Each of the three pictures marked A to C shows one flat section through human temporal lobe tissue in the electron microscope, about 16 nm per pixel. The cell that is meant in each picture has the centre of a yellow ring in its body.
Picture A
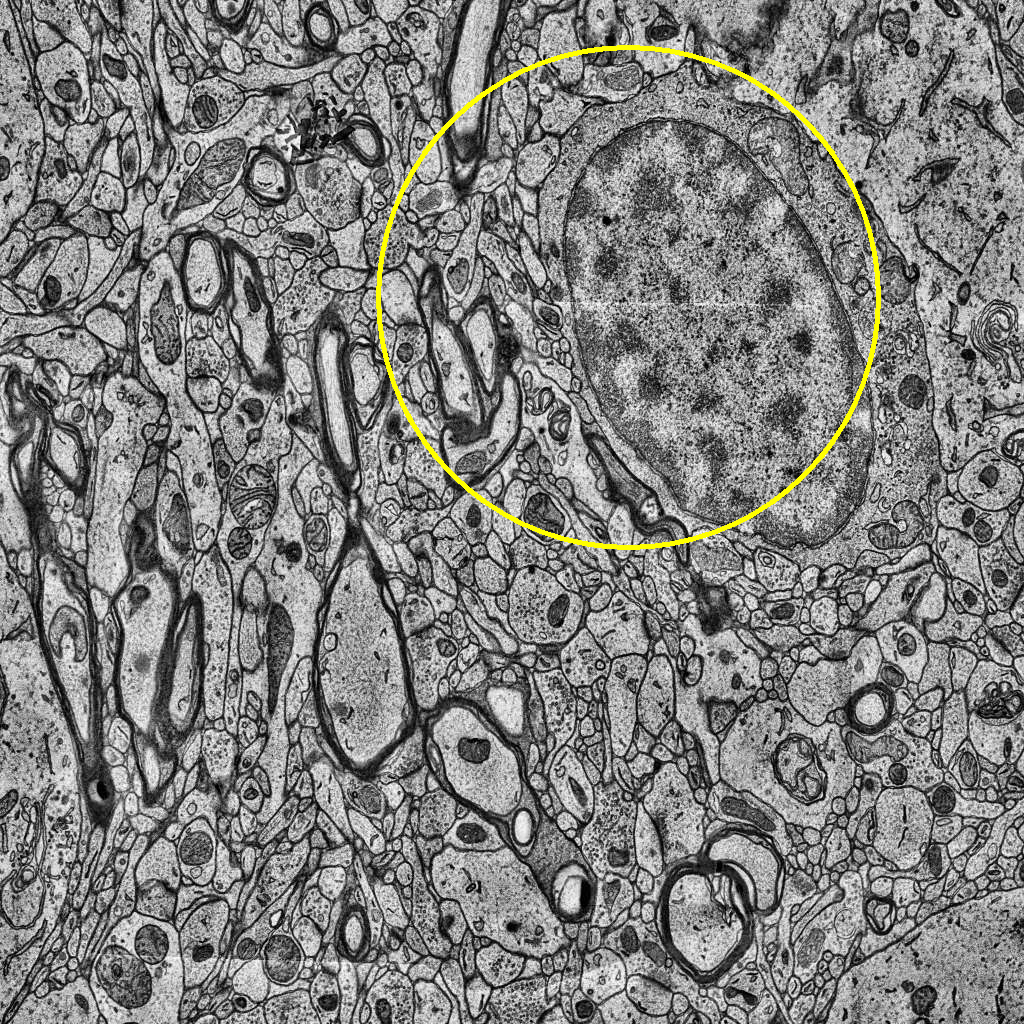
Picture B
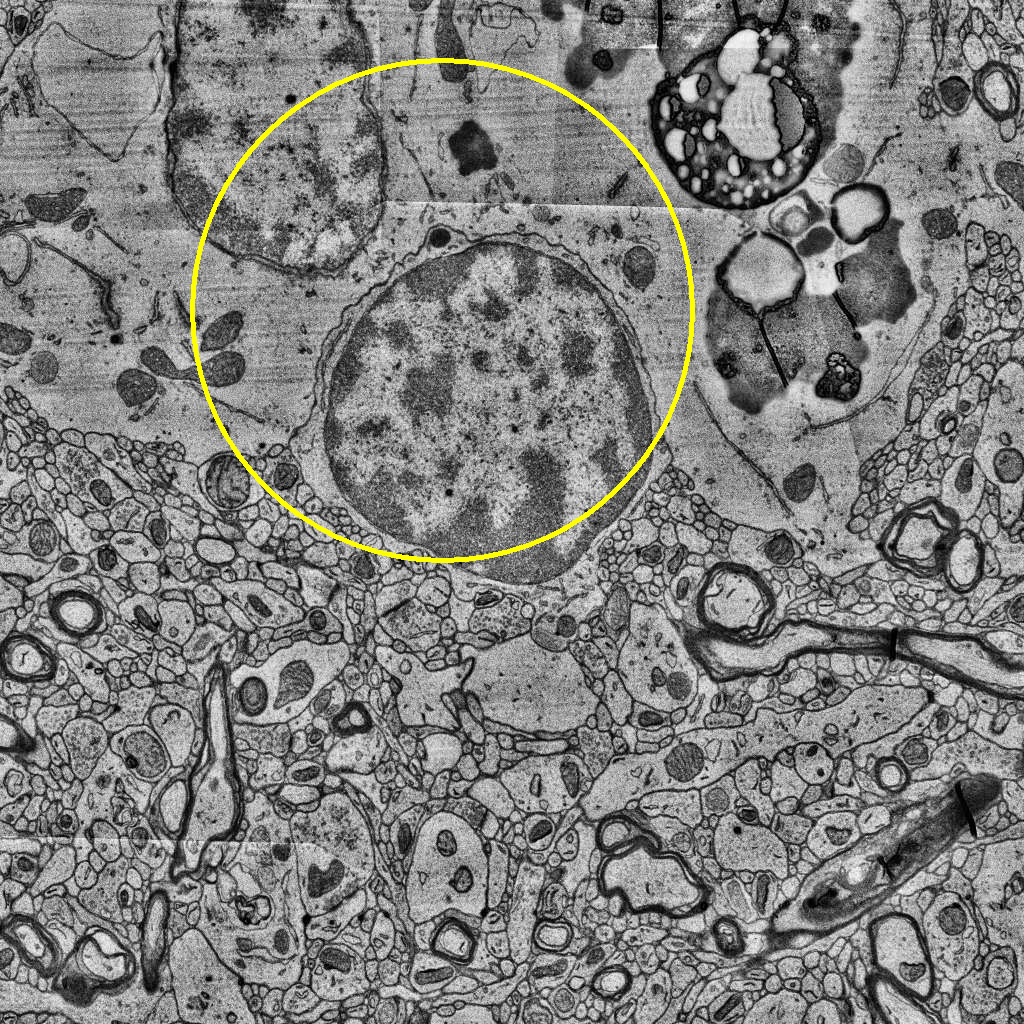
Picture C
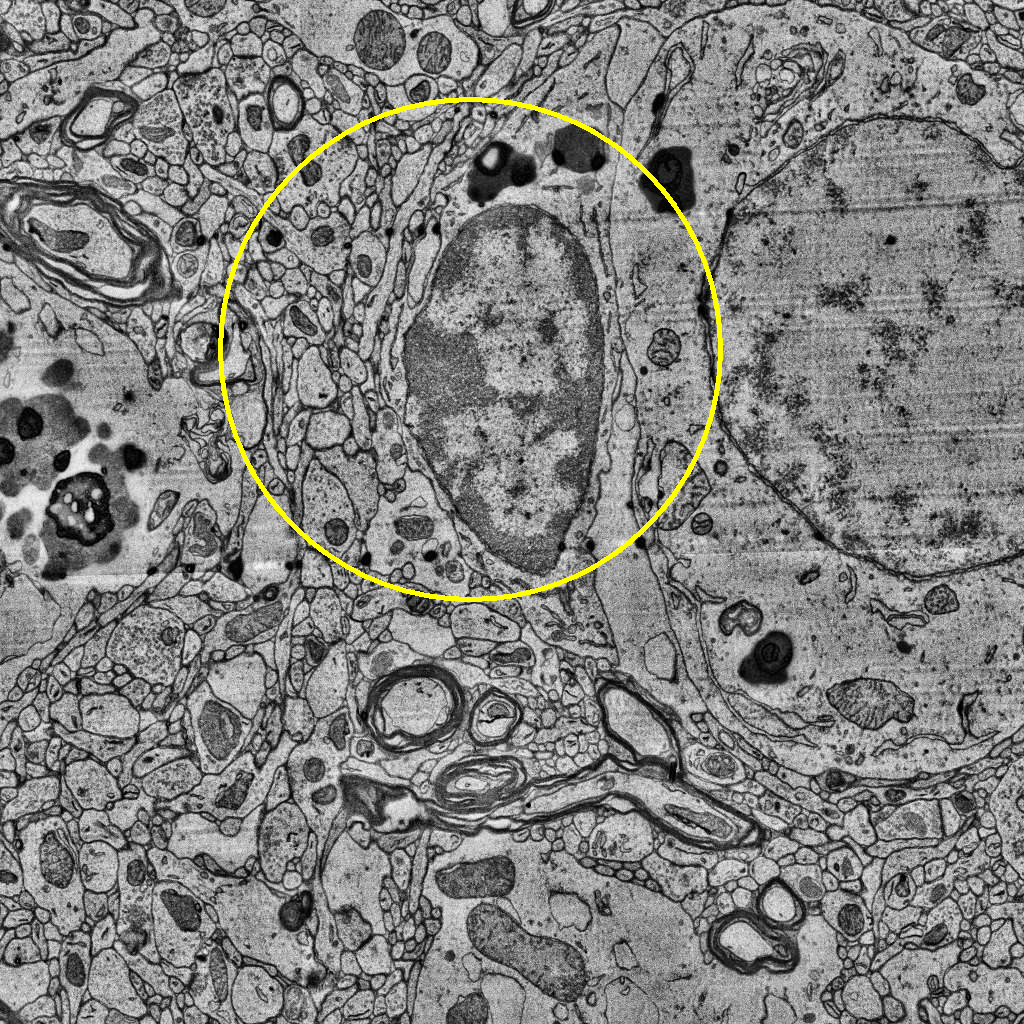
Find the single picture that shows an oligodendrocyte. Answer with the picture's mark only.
A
